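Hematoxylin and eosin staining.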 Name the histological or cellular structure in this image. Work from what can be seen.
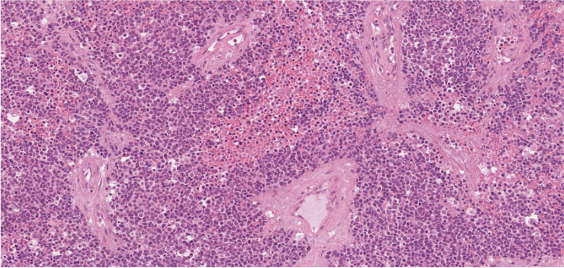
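Pale pink, glassy fibrous bands among the tumour cells. Some bands enclose small vessels.
Hence: sclero-hyaline septa.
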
